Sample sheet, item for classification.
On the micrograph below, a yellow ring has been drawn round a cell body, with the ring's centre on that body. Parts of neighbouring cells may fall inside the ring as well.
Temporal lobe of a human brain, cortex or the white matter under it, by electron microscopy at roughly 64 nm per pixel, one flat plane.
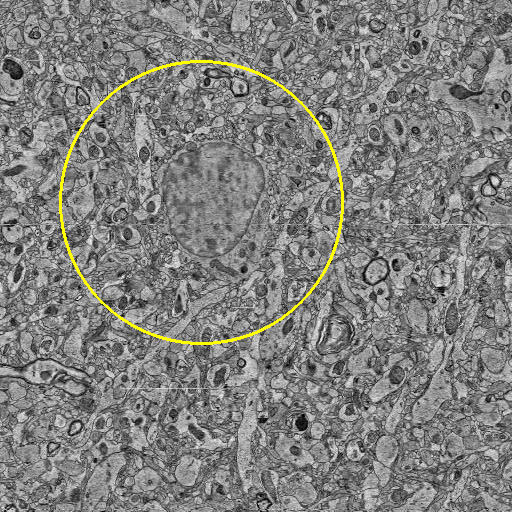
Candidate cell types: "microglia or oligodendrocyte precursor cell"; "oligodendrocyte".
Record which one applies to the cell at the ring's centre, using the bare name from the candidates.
oligodendrocyte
